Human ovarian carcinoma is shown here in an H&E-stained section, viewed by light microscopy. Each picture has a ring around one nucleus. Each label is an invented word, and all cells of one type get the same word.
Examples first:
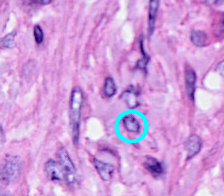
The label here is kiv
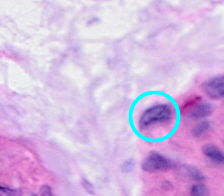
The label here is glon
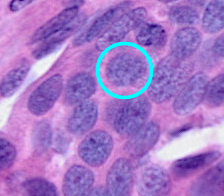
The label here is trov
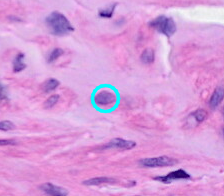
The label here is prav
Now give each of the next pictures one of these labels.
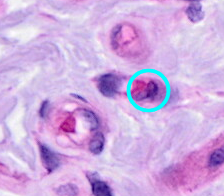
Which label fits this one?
glon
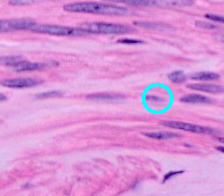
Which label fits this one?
prav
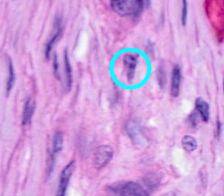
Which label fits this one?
kiv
